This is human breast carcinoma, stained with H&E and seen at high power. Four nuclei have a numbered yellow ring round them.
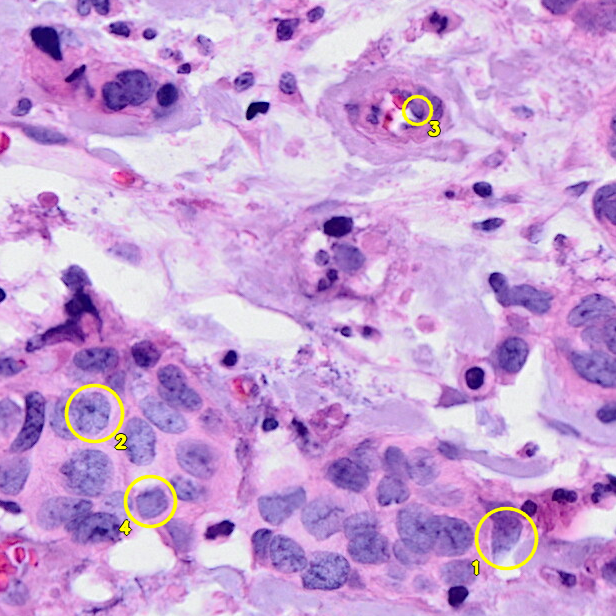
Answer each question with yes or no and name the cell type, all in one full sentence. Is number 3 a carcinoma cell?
No, cell 3 is not a carcinoma cell: it is an endothelial cell.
